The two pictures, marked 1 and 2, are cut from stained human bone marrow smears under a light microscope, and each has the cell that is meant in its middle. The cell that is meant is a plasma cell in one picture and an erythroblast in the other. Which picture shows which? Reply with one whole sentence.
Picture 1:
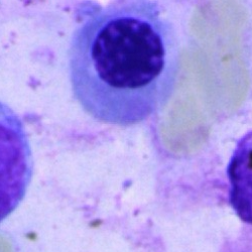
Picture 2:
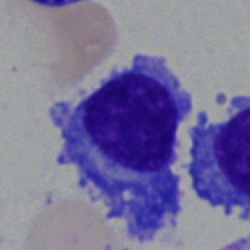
It is picture 1 that shows an erythroblast, and picture 2 that shows a plasma cell.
